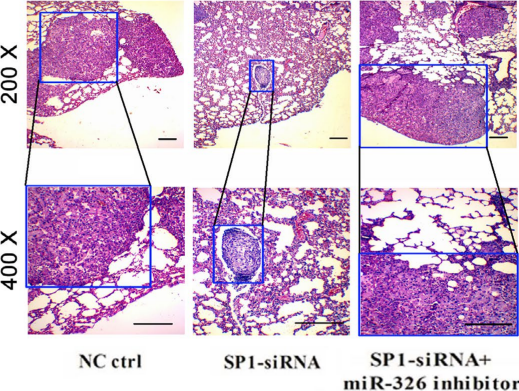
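The lung shows open, thin-walled alveolar spaces, and within it lie solid, densely cellular purple-staining nodules set off from the surrounding parenchyma. The nodules vary widely in size, from a small round focus to large masses that occupy much of the field. These are tumour deposits growing within the lung tissue.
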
